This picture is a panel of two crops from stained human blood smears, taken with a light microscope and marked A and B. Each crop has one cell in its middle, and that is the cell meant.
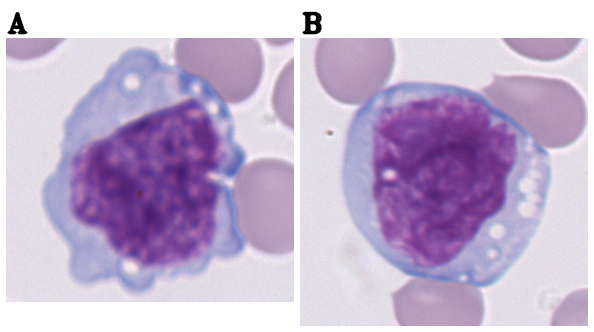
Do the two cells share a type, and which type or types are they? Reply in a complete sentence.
Yes, that is right, both crops show myeloblasts.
